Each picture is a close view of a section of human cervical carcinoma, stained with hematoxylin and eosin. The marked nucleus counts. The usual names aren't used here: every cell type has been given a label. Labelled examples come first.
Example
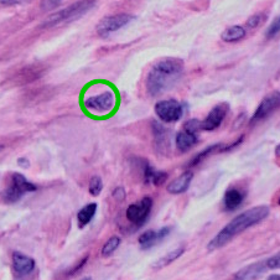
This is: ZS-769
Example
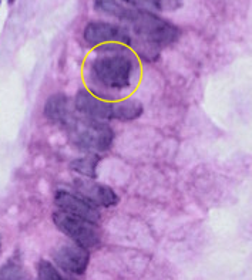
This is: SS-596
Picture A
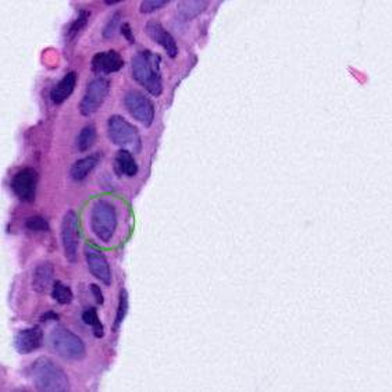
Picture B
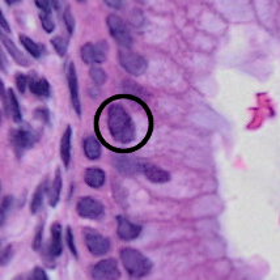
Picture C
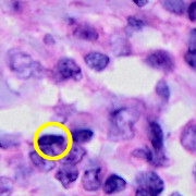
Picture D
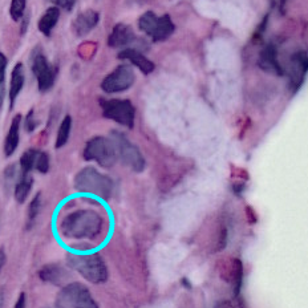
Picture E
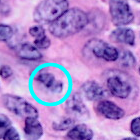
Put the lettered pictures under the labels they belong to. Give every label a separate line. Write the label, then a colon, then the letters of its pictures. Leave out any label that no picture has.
ZS-769: C, E
SS-596: A, B, D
